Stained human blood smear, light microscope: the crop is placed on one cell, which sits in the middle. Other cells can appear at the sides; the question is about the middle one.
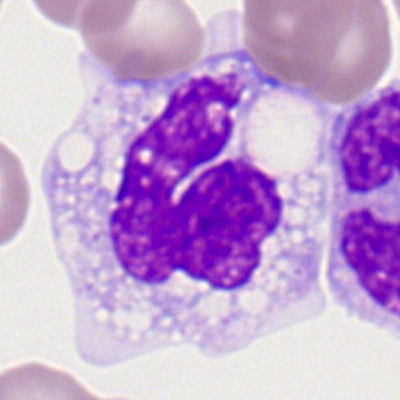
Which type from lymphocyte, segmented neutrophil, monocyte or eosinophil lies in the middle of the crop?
monocyte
